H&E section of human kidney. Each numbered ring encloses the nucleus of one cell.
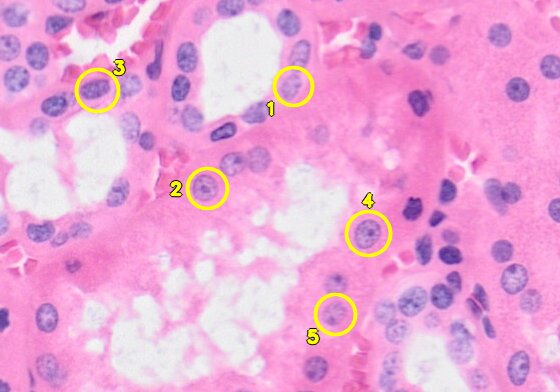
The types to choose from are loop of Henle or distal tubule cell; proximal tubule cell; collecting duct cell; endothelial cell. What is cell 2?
proximal tubule cell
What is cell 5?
proximal tubule cell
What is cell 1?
collecting duct cell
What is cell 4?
proximal tubule cell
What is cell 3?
collecting duct cell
